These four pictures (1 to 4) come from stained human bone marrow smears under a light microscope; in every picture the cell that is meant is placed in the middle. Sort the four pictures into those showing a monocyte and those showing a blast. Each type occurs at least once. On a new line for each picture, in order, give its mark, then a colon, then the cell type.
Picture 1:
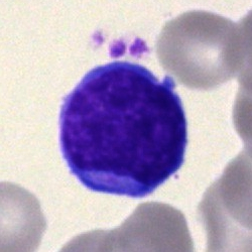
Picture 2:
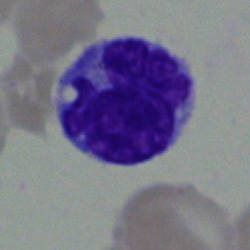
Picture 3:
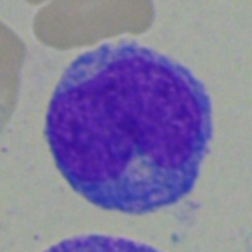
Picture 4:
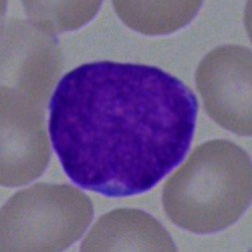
1: blast
2: monocyte
3: blast
4: blast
